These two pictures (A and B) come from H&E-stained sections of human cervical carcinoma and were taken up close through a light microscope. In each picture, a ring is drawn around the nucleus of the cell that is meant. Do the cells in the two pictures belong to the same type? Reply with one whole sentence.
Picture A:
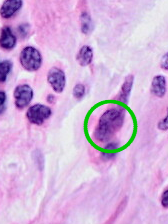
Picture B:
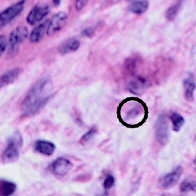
No; the cell in picture A is a “macrophage or monocyte”, while the one in picture B is a fibroblast.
